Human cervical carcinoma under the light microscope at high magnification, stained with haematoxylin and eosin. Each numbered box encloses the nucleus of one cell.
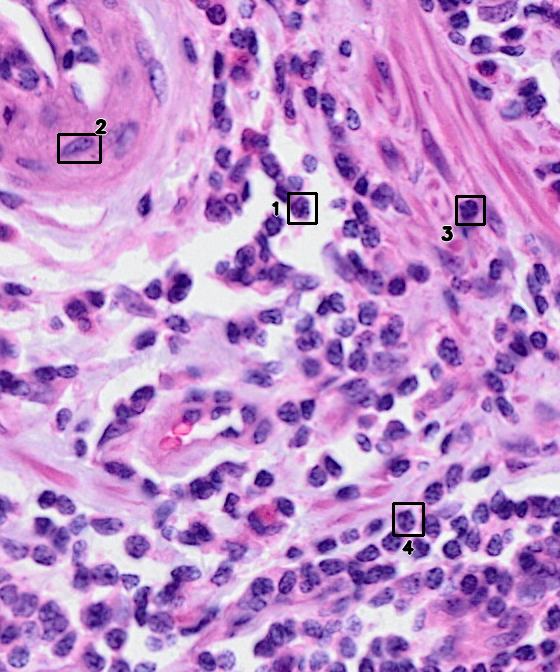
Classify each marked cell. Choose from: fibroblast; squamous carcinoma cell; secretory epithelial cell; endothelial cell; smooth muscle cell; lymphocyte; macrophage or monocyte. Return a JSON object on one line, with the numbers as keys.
{"1": "lymphocyte", "2": "smooth muscle cell", "3": "lymphocyte", "4": "lymphocyte"}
